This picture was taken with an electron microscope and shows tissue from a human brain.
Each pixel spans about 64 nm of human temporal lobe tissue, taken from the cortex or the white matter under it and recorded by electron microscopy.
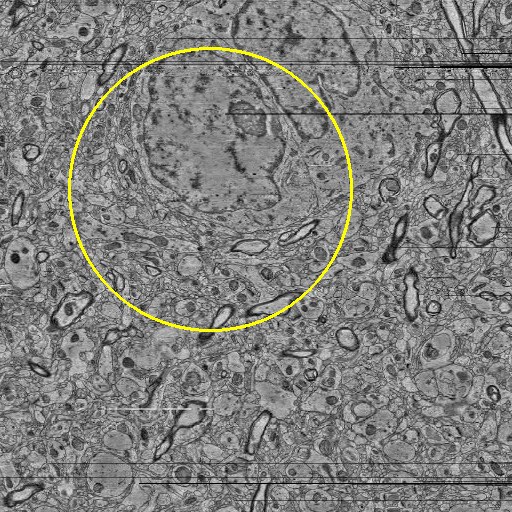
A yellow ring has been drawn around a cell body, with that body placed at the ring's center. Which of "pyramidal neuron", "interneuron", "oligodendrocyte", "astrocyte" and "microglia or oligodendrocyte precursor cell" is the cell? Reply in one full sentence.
In this picture, a pyramidal neuron is the cell at the center of the yellow ring.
